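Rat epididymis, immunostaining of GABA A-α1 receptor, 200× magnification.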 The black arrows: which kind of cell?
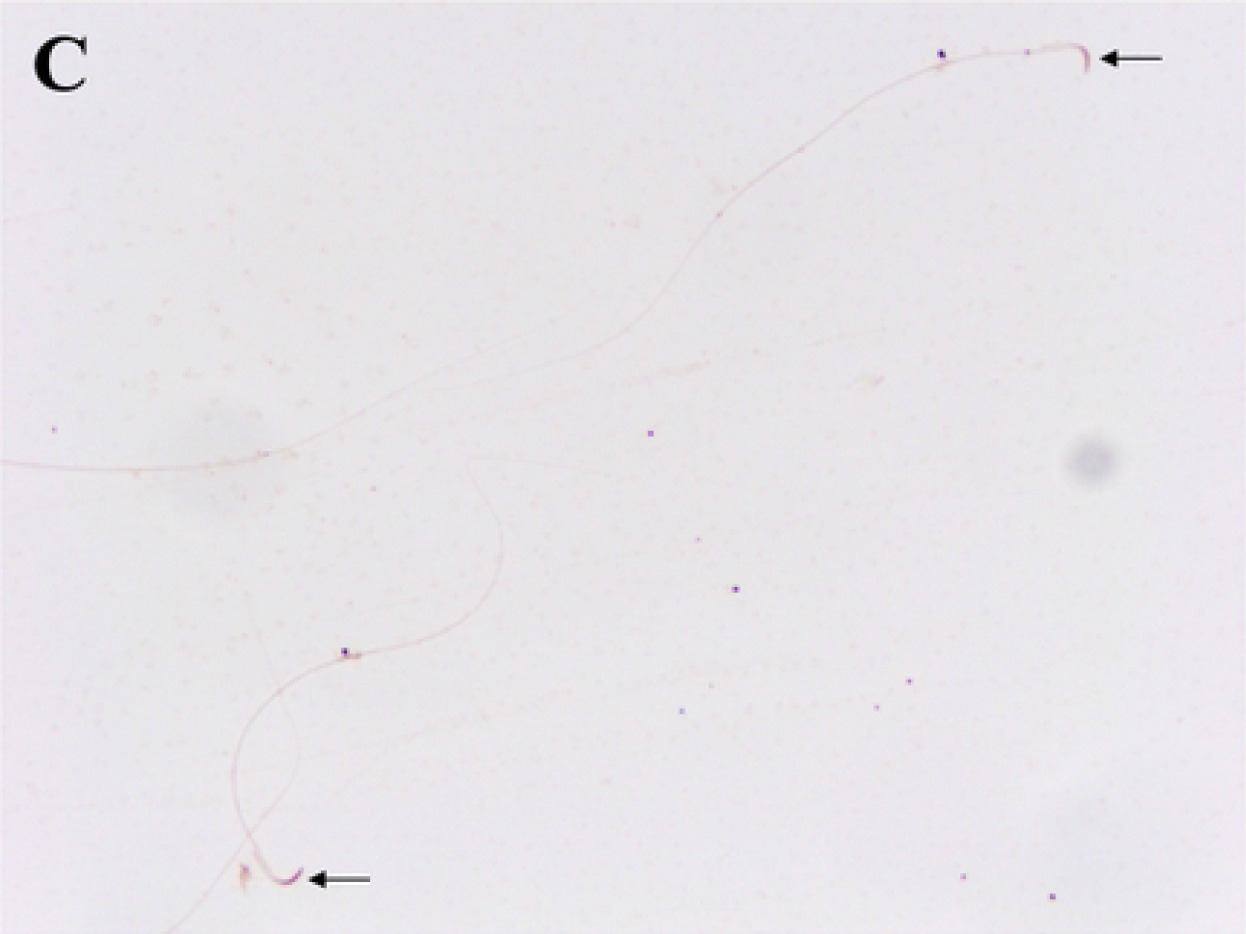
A: Sperm.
